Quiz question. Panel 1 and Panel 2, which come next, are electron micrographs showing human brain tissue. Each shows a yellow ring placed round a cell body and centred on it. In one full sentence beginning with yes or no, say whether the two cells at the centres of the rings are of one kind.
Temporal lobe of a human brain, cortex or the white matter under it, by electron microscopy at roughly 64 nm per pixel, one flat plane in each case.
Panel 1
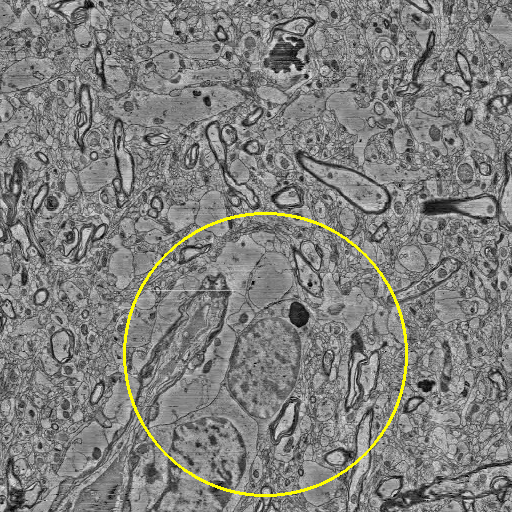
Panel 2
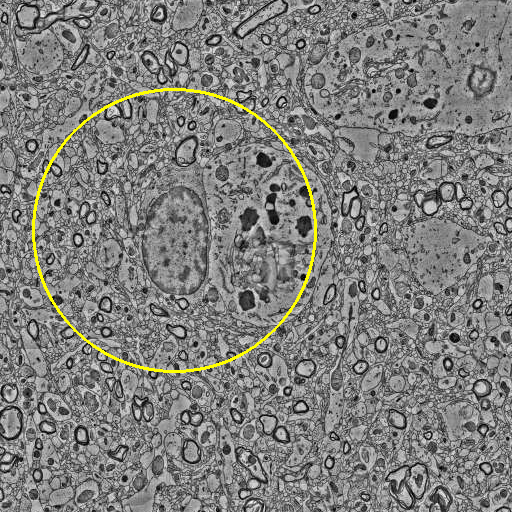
Yes, Panel 1 and Panel 2 show one kind of cell at the centre of the ring.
